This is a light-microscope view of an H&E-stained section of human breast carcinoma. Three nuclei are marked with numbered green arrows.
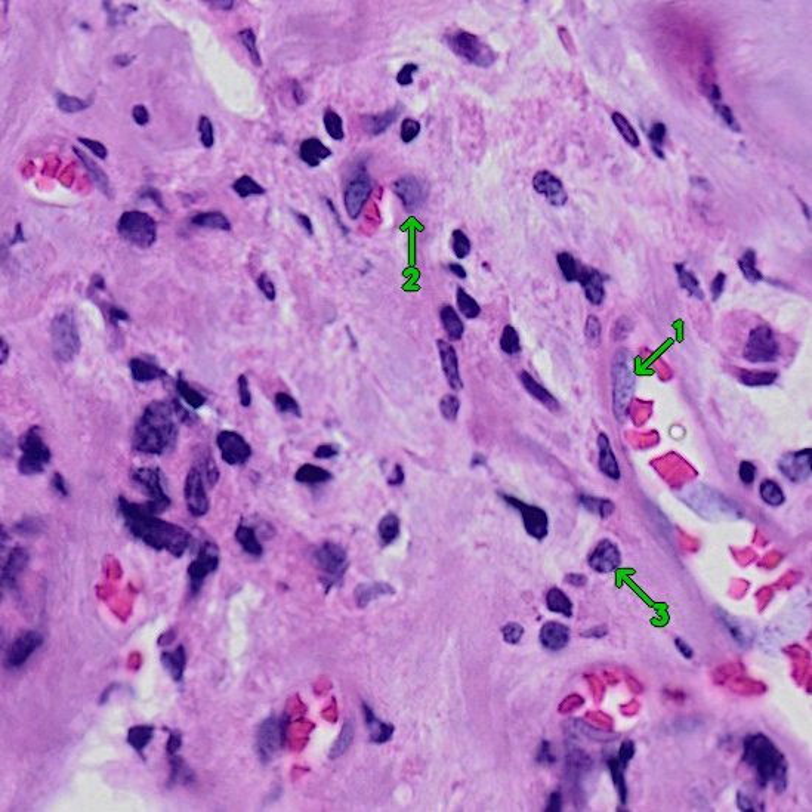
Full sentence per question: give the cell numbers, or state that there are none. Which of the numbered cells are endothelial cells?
The cells numbered 1 and 2 are of one kind: endothelial cells.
